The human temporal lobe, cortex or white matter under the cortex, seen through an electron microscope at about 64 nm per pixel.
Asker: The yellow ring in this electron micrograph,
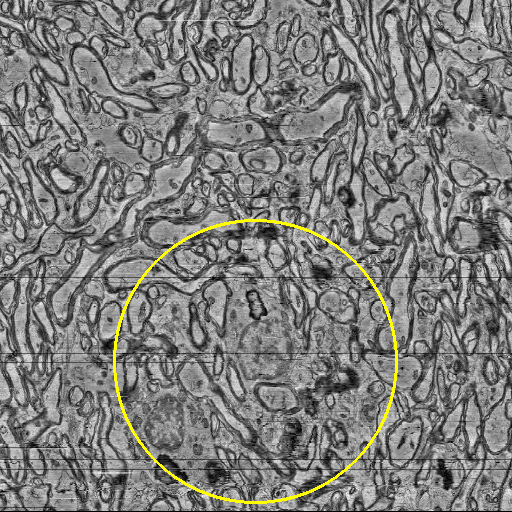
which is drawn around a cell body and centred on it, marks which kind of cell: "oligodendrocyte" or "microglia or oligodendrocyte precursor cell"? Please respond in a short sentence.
The marked cell is an oligodendrocyte.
